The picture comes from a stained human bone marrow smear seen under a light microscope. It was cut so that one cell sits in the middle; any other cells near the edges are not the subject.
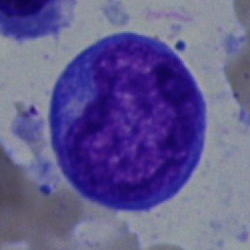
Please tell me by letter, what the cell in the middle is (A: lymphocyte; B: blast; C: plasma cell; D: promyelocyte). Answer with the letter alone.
B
